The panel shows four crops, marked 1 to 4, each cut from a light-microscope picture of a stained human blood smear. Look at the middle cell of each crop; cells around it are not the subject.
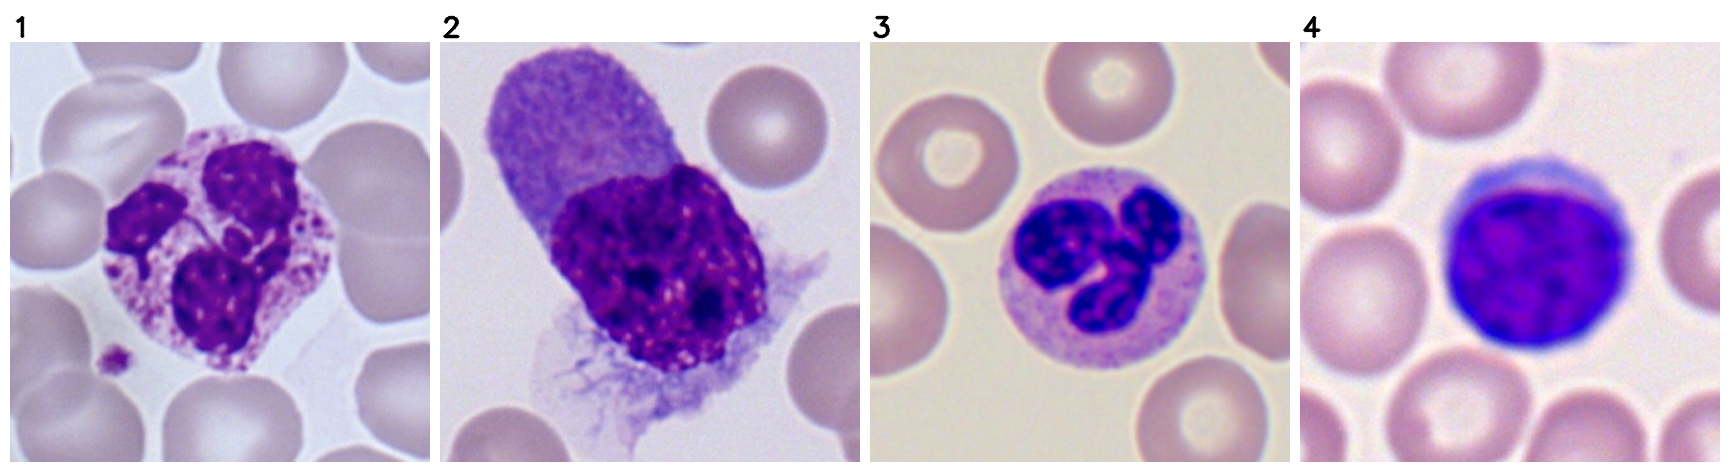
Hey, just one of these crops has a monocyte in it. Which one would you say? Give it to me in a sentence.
Crop 2 is the crop that shows a monocyte in its middle.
